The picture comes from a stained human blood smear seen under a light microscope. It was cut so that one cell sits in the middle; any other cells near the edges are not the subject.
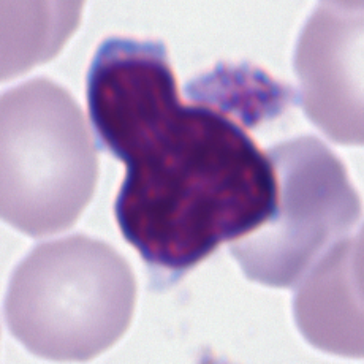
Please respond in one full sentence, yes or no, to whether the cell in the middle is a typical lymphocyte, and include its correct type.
Yes, the cell in the centre is a typical lymphocyte.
